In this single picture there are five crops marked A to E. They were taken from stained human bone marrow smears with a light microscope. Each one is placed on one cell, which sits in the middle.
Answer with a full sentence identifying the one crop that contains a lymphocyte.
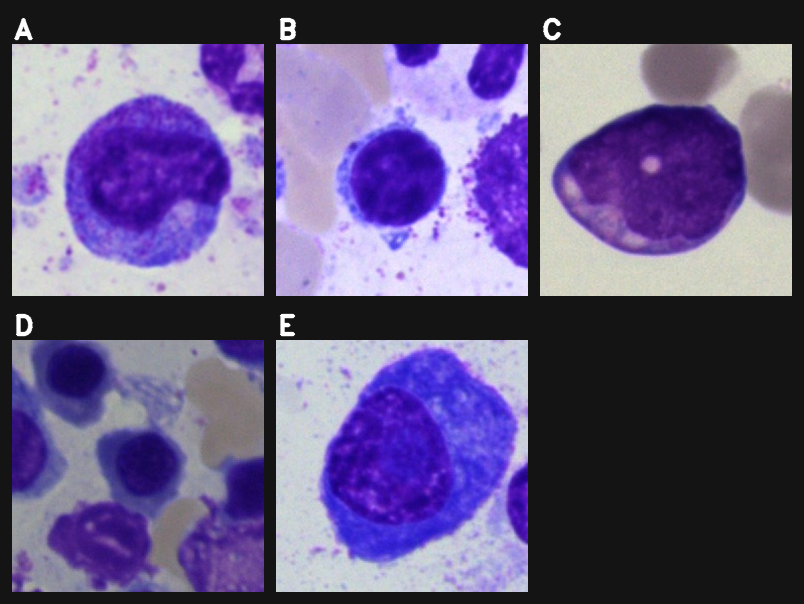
It is crop B, not any other, that shows a lymphocyte.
